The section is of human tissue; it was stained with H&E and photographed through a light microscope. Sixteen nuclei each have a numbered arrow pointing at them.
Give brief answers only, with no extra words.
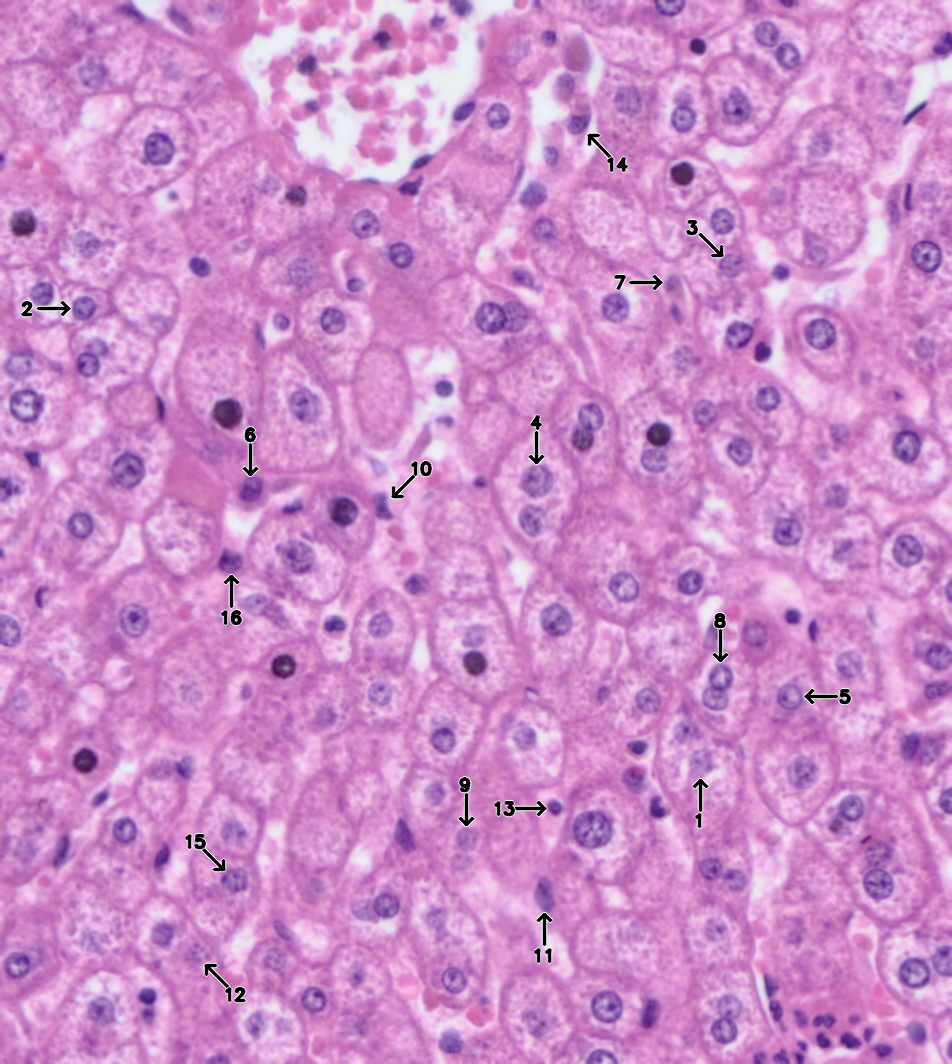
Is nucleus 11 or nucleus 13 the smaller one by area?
13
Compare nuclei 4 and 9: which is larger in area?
4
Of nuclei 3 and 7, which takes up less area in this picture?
7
